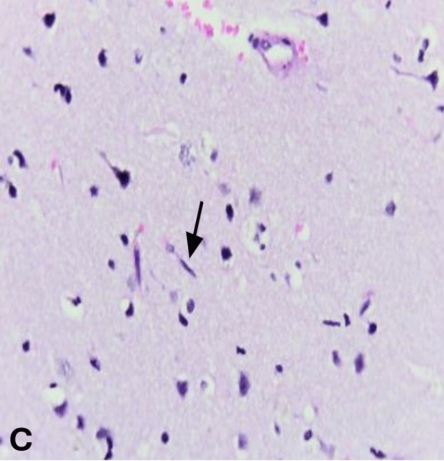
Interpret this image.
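Here is brain tissue with a pale pink, finely fibrillar neuropil and many scattered small dark nuclei. Among them are cells with slender, elongated, rod-like dark nuclei, the look of activated microglia. A small blood vessel with red blood cells lies at the top edge.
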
